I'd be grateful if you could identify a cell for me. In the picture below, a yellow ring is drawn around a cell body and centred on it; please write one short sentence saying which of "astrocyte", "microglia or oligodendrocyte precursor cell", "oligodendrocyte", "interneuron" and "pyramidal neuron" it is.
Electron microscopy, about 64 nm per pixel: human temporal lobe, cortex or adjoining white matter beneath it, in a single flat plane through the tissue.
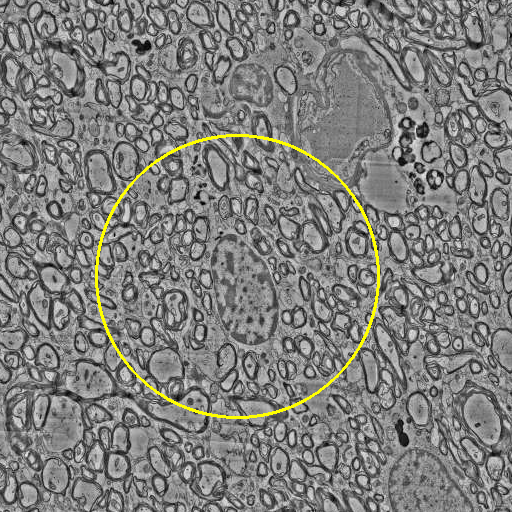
The cell under the ring's centre is a microglial cell or oligodendrocyte precursor cell.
